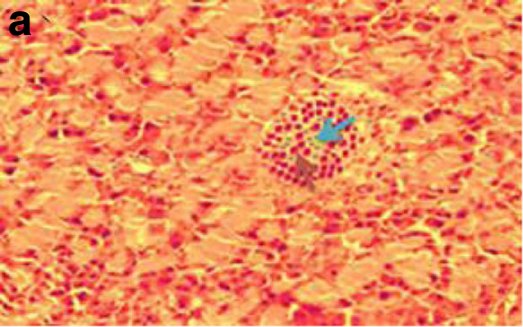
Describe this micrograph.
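This is pancreas with an islet of langerhans sitting among the exocrine tissue. The islet is a compact, roughly round cluster of small cells with dark, round nuclei packed closely together. Around it lie larger pink-staining cells of the exocrine pancreas in a less orderly arrangement, with scattered nuclei.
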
